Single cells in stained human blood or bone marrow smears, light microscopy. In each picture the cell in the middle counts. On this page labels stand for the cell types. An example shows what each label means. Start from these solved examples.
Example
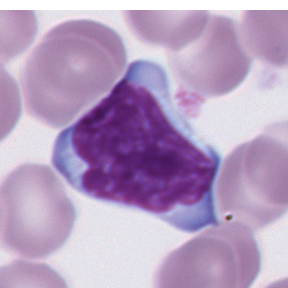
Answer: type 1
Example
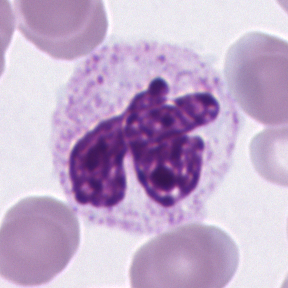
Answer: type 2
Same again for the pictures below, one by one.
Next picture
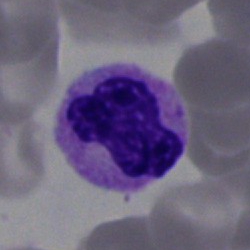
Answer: type 2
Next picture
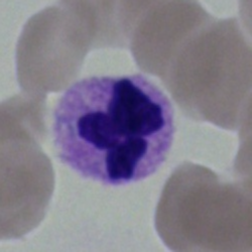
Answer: type 2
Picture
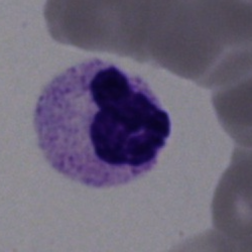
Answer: type 2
